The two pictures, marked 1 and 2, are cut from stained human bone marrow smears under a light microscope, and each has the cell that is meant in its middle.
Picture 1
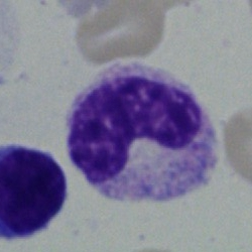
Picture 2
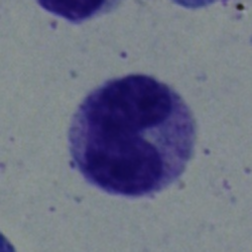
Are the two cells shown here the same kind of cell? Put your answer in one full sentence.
No, they differ: the cell is a metamyelocyte in picture 1 and a band neutrophil in picture 2.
